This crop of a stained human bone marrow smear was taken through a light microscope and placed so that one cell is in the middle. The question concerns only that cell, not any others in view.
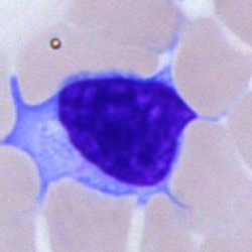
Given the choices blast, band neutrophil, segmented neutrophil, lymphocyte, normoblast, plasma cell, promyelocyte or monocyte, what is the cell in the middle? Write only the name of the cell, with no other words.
lymphocyte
